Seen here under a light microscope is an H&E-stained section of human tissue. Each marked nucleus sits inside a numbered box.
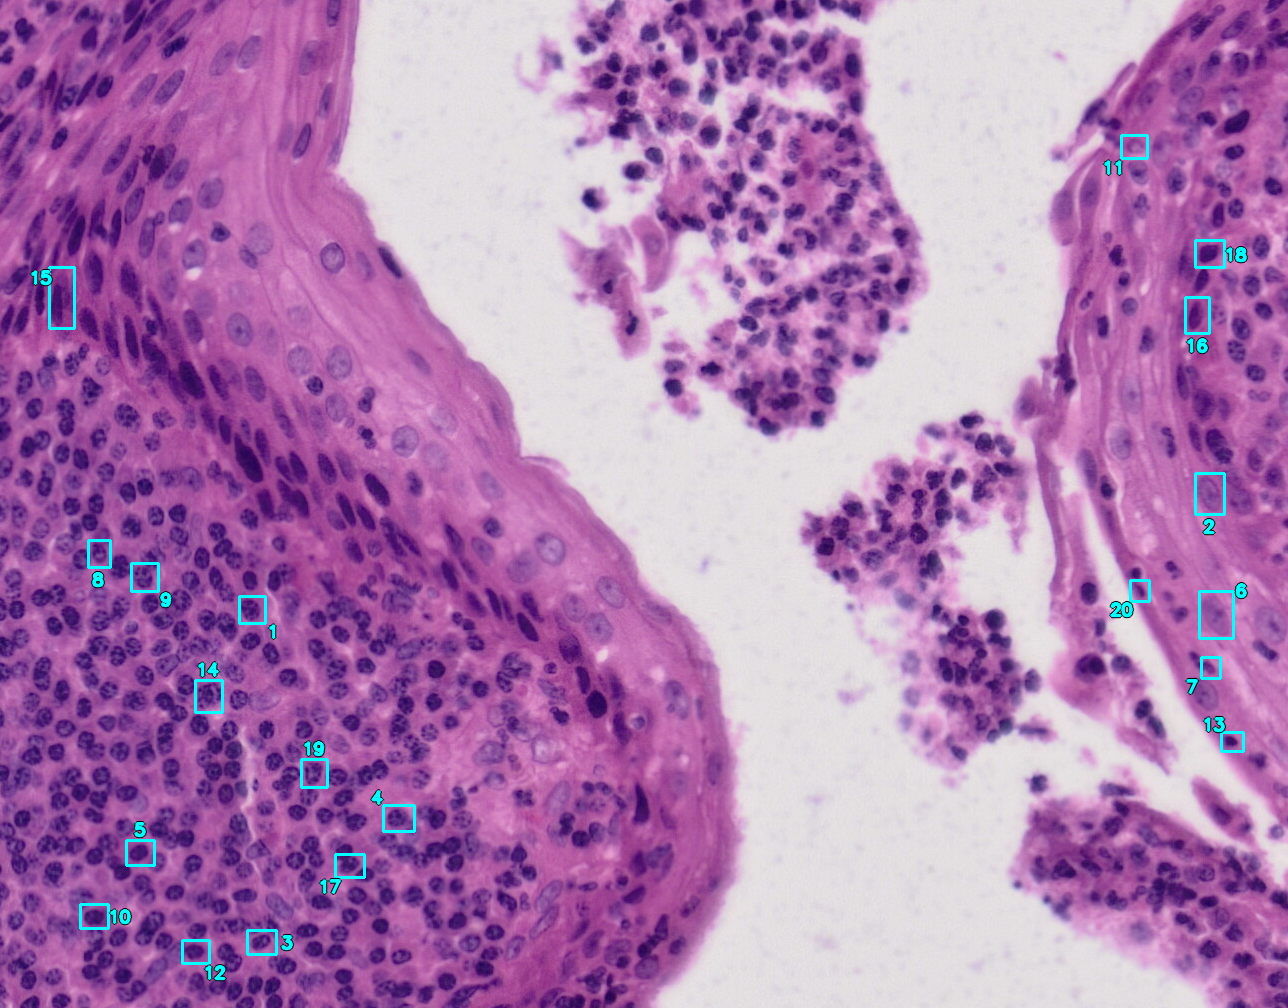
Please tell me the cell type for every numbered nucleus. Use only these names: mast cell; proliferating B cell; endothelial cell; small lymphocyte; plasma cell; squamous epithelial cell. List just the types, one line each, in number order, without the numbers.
plasma cell
squamous epithelial cell
plasma cell
plasma cell
plasma cell
squamous epithelial cell
squamous epithelial cell
plasma cell
plasma cell
plasma cell
squamous epithelial cell
plasma cell
squamous epithelial cell
plasma cell
squamous epithelial cell
squamous epithelial cell
plasma cell
squamous epithelial cell
plasma cell
squamous epithelial cell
